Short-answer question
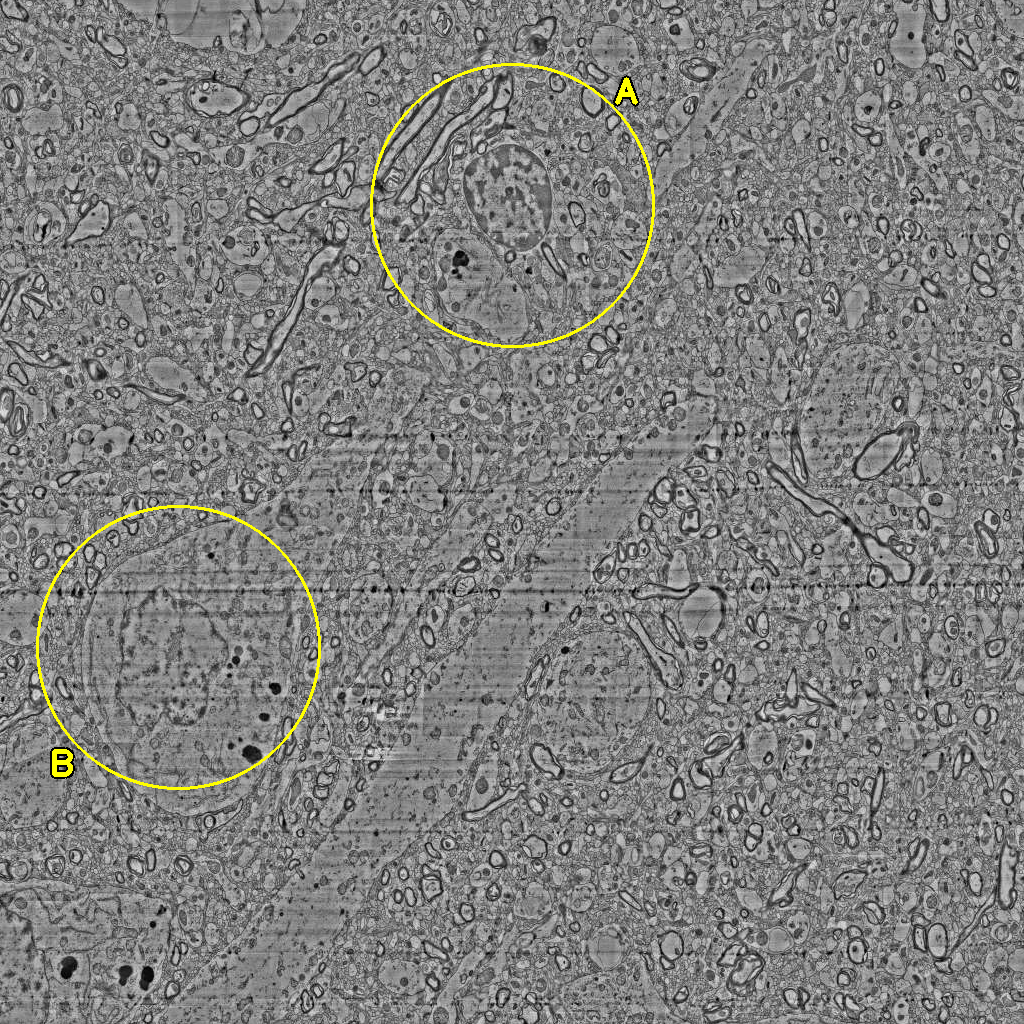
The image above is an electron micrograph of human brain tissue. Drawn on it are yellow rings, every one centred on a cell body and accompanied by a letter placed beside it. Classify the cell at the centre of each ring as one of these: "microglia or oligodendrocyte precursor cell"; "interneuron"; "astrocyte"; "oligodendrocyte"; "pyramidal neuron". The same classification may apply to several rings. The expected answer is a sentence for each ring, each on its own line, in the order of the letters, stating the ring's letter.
The cell at ring A is classified as a microglial cell or oligodendrocyte precursor cell.
The cell at ring B is classified as a pyramidal neuron.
